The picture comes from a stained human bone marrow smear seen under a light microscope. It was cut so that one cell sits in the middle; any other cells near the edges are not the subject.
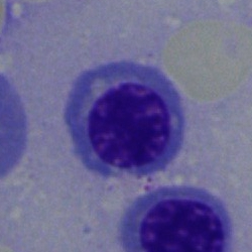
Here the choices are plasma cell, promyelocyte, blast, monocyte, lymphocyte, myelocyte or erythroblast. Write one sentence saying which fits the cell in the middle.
In short, the cell at the center is an erythroblast.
